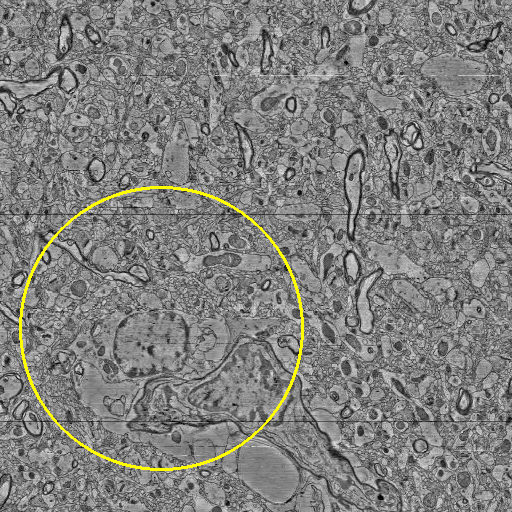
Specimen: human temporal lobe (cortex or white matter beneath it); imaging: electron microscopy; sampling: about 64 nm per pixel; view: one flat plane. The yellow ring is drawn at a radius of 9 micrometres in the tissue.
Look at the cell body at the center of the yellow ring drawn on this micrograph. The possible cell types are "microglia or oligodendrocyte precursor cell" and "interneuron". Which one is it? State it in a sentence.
The cell in the middle of the ring is a microglial cell or oligodendrocyte precursor cell.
